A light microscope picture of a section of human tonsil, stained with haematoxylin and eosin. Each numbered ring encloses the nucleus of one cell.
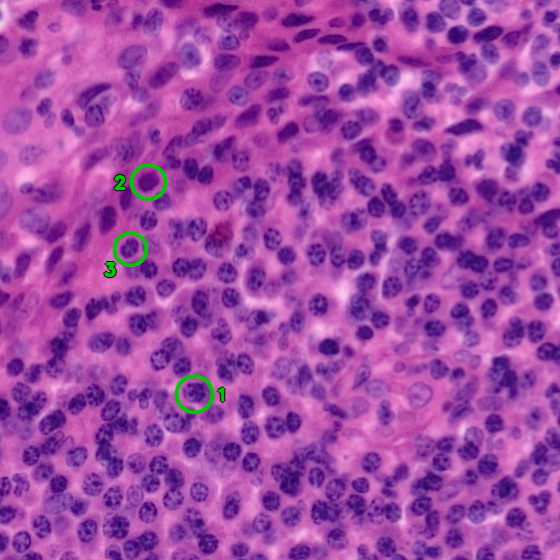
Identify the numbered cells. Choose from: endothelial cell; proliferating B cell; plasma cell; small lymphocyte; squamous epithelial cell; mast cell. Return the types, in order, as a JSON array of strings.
["plasma cell", "squamous epithelial cell", "plasma cell"]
